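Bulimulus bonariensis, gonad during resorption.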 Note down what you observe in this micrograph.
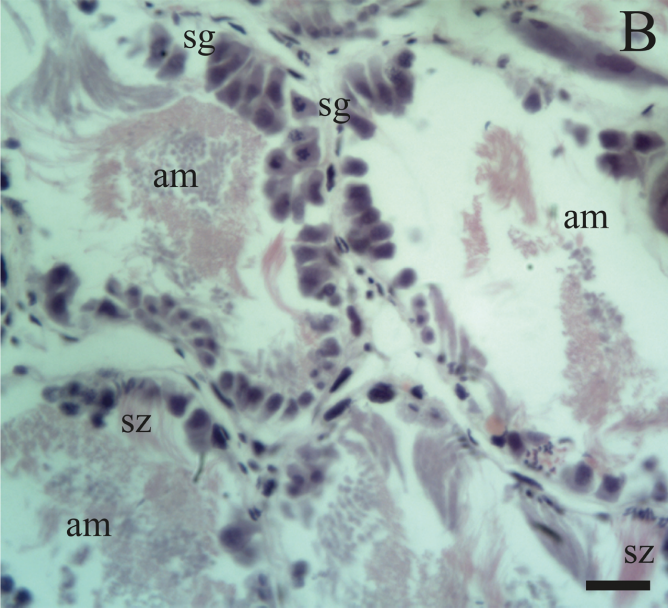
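The follicle walls are lined by rows and clusters of small cells with round, darkly purple-staining nuclei, the spermatogonia, which stand out strongly against the pale background. The follicle lumens contain loose, pale pink, granular reproductive debris with amoebocytes among it. Bundles of spermatozoa remain as fine, pink, wavy filaments gathered in streaks. Thin strands of tissue with small, elongated dark nuclei run between neighbouring follicles.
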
